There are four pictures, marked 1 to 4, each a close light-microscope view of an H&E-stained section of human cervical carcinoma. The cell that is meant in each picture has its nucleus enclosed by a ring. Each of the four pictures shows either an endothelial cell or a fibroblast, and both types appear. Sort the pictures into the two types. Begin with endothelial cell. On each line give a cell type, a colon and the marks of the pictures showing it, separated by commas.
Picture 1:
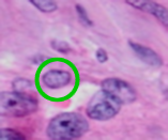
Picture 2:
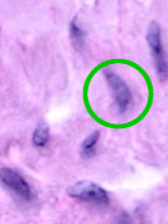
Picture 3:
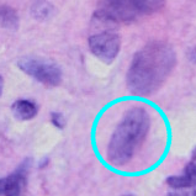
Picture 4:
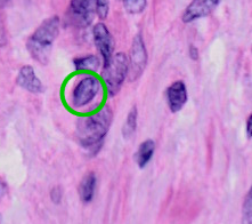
endothelial cell: 1, 4
fibroblast: 2, 3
